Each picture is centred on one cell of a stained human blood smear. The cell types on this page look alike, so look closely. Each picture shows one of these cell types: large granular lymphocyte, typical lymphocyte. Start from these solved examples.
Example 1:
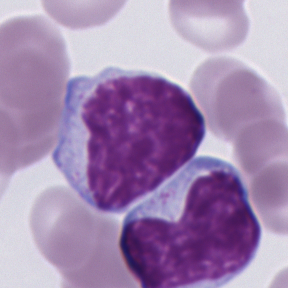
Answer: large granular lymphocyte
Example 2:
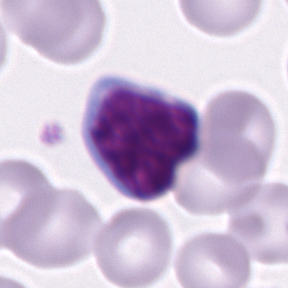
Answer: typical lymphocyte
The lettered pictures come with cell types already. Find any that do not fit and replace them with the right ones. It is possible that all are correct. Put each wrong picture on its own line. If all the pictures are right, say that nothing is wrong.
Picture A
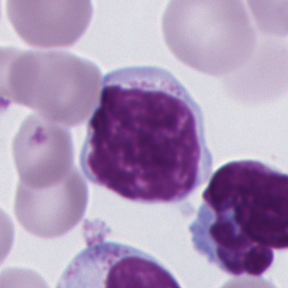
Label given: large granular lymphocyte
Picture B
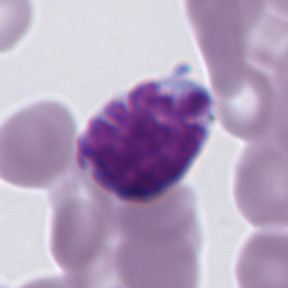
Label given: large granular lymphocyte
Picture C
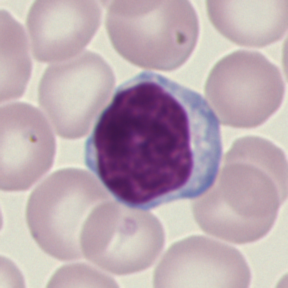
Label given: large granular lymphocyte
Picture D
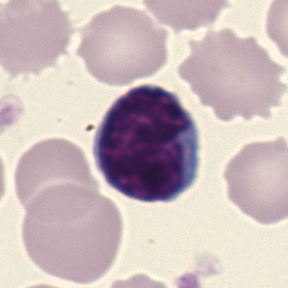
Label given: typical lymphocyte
C should be typical lymphocyte, not large granular lymphocyte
